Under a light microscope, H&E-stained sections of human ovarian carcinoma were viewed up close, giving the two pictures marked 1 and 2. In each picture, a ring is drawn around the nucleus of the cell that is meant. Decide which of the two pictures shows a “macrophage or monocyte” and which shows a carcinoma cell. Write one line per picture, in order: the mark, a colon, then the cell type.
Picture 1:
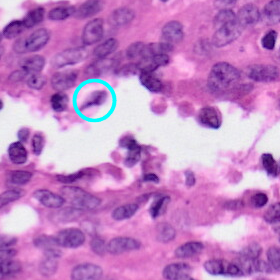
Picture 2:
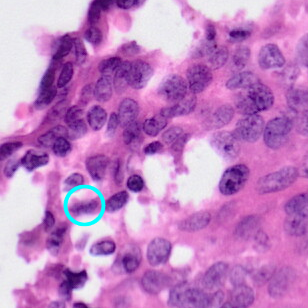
1: macrophage or monocyte
2: carcinoma cell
